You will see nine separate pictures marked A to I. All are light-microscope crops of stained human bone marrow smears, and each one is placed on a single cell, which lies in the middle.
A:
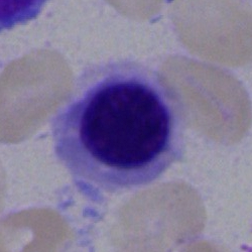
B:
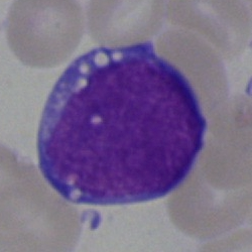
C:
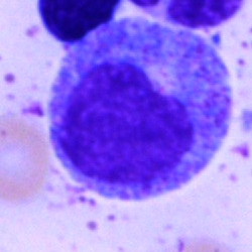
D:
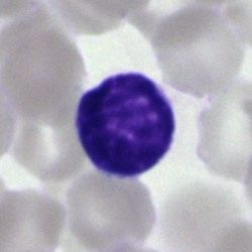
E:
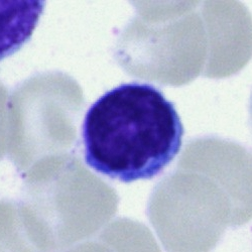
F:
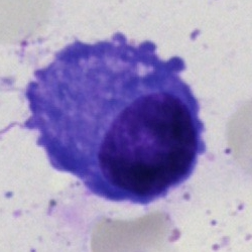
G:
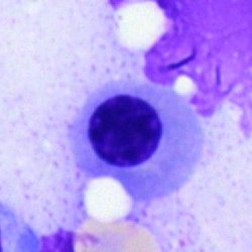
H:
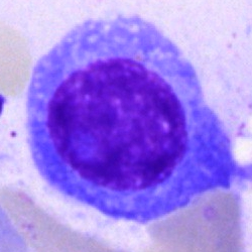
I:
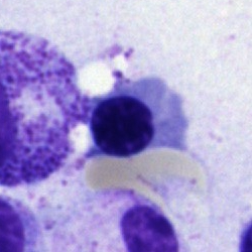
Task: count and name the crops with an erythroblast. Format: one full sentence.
The erythroblasts in this set are confined to three crops, A, G and I.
